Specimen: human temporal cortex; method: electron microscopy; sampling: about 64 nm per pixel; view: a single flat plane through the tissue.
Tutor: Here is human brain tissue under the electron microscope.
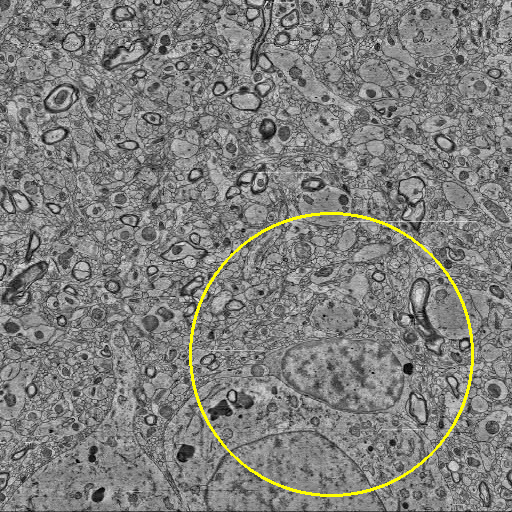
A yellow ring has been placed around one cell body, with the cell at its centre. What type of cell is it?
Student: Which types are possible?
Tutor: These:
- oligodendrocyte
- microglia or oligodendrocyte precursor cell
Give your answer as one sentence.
What the ring picks out here is an oligodendrocyte.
